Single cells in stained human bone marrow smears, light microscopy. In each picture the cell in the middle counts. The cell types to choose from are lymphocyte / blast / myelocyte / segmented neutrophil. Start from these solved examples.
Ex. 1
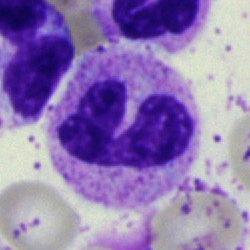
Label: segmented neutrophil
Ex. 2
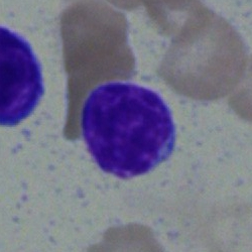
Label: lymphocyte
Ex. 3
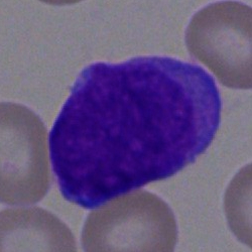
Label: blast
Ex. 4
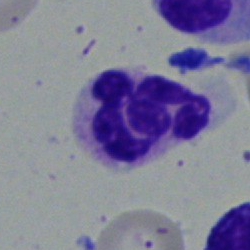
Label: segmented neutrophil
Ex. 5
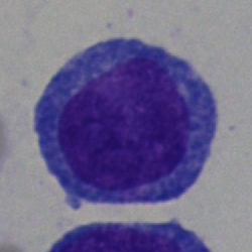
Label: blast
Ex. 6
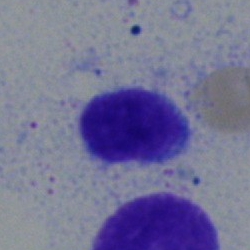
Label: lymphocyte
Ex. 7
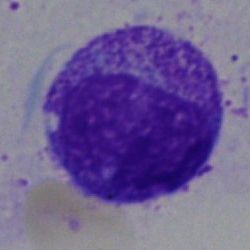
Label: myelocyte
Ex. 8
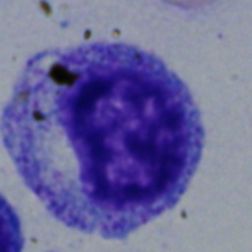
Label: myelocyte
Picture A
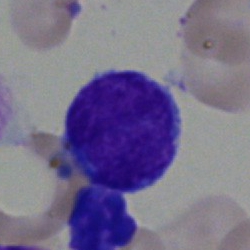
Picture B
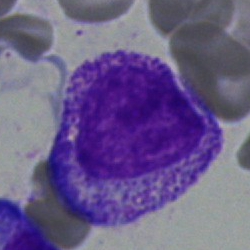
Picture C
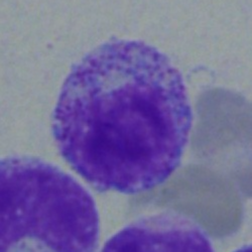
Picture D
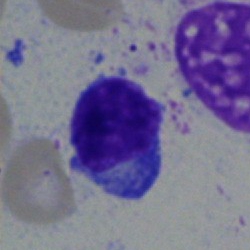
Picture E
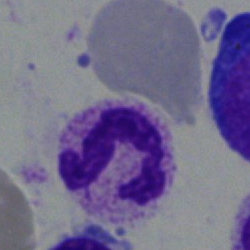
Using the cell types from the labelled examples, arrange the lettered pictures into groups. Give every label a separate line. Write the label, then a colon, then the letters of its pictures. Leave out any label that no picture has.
lymphocyte: A, D
myelocyte: B, C
segmented neutrophil: E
